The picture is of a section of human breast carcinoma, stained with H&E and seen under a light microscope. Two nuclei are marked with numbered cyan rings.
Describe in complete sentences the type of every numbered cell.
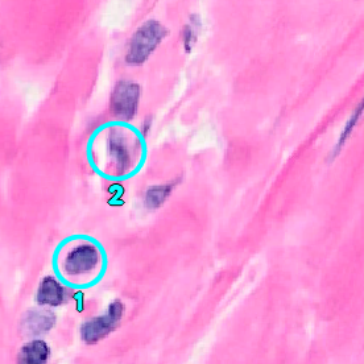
Cell 1 is a lymphocyte. Cell 2 is an endothelial cell.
